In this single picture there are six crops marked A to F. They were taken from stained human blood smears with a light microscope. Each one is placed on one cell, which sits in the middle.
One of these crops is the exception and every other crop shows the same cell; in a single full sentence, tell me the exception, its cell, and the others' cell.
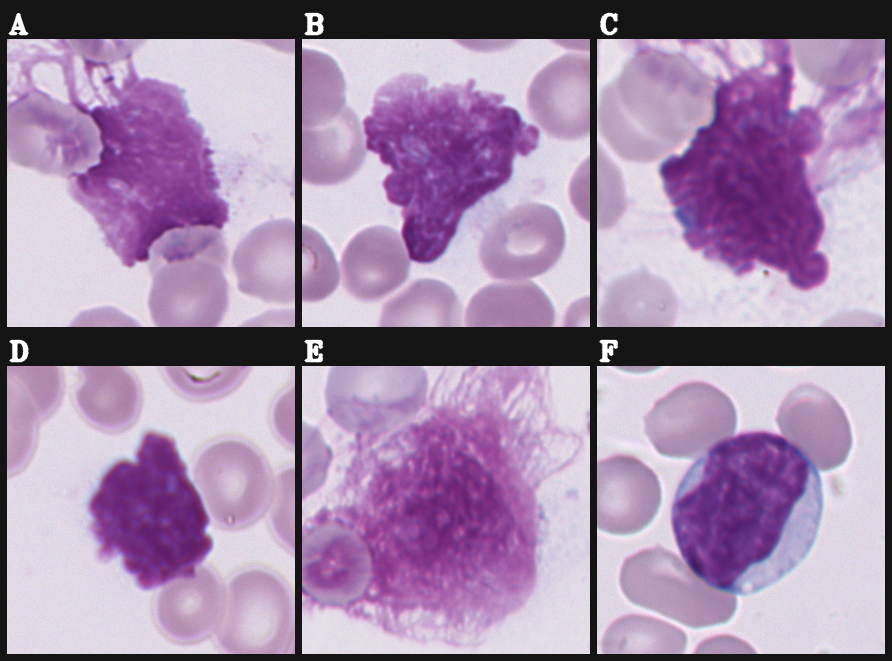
There is a myeloblast in crop F, while all the other crops show smudge cells.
